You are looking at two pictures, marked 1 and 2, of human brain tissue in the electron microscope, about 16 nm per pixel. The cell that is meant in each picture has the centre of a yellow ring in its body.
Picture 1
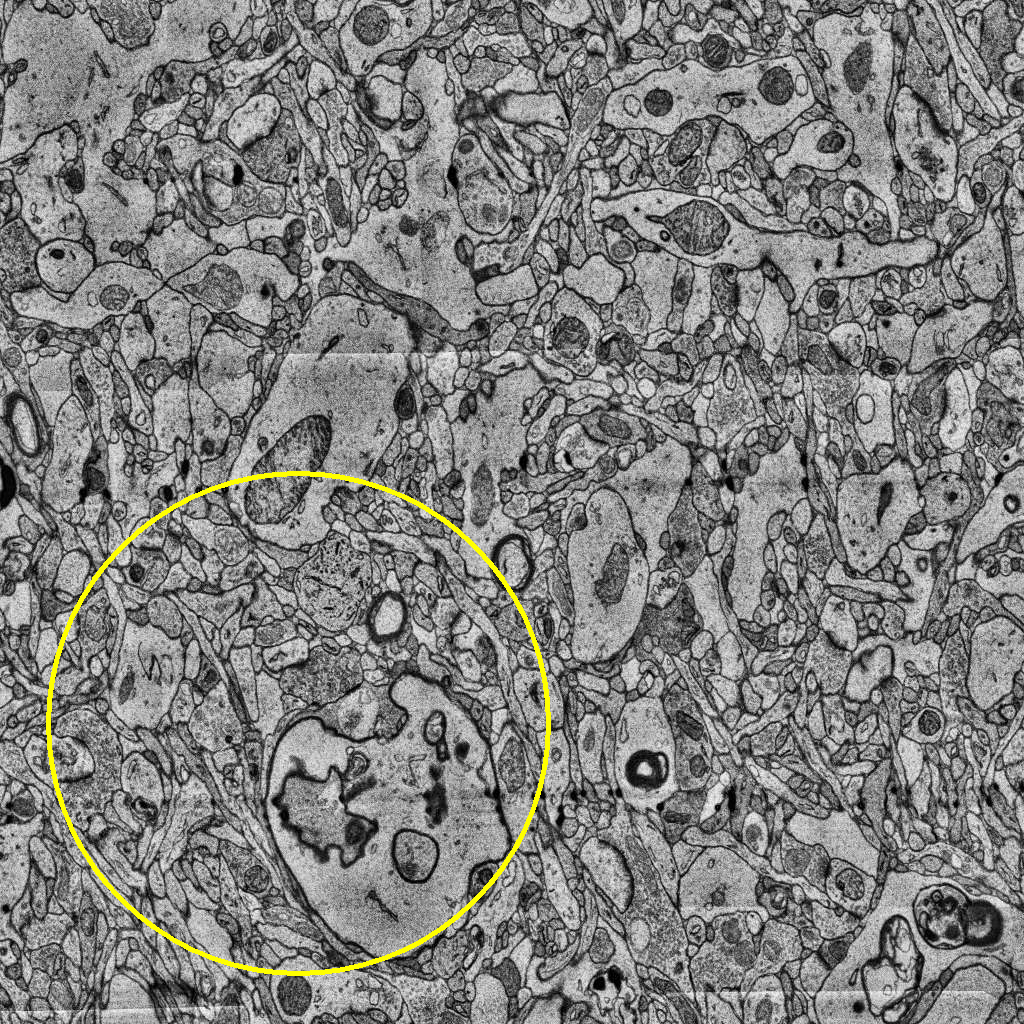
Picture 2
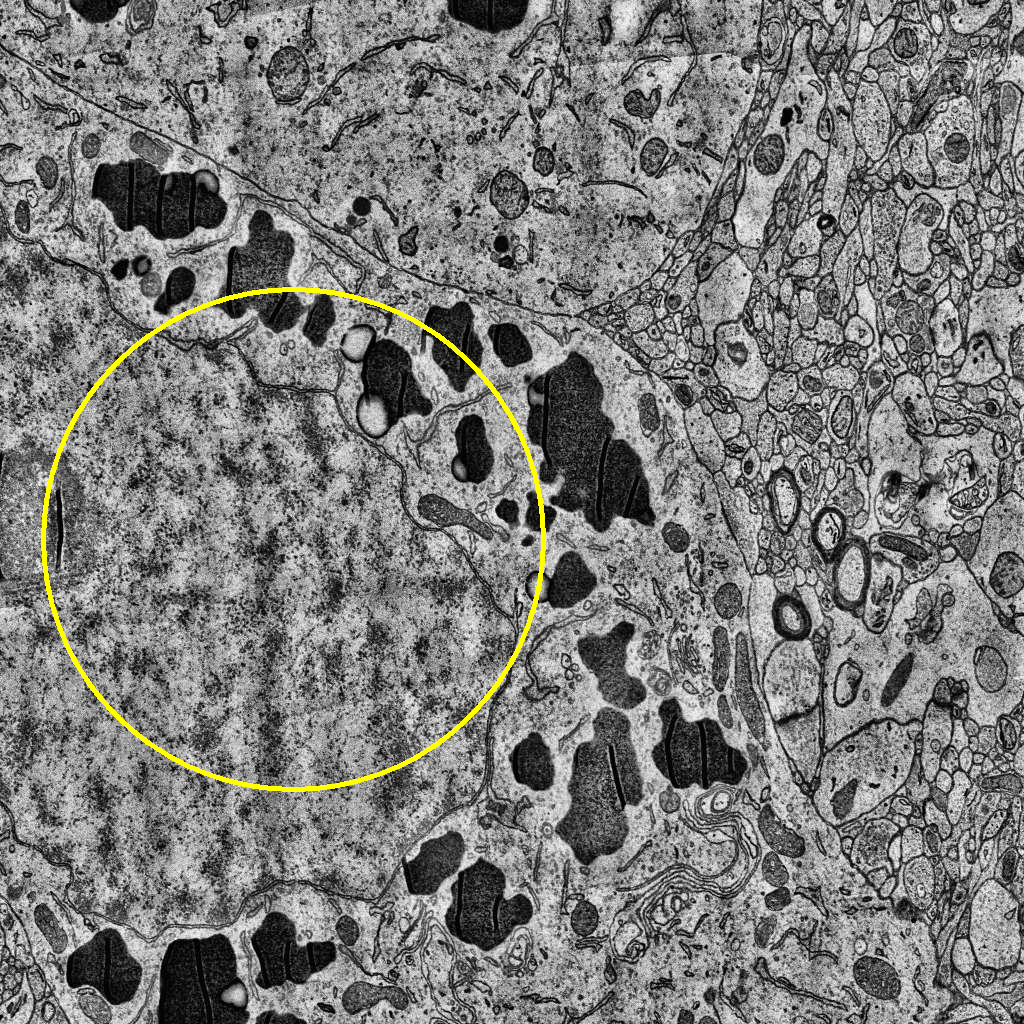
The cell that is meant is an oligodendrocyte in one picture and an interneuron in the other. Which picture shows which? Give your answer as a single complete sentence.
Picture 2 shows an interneuron, while picture 1 shows an oligodendrocyte.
